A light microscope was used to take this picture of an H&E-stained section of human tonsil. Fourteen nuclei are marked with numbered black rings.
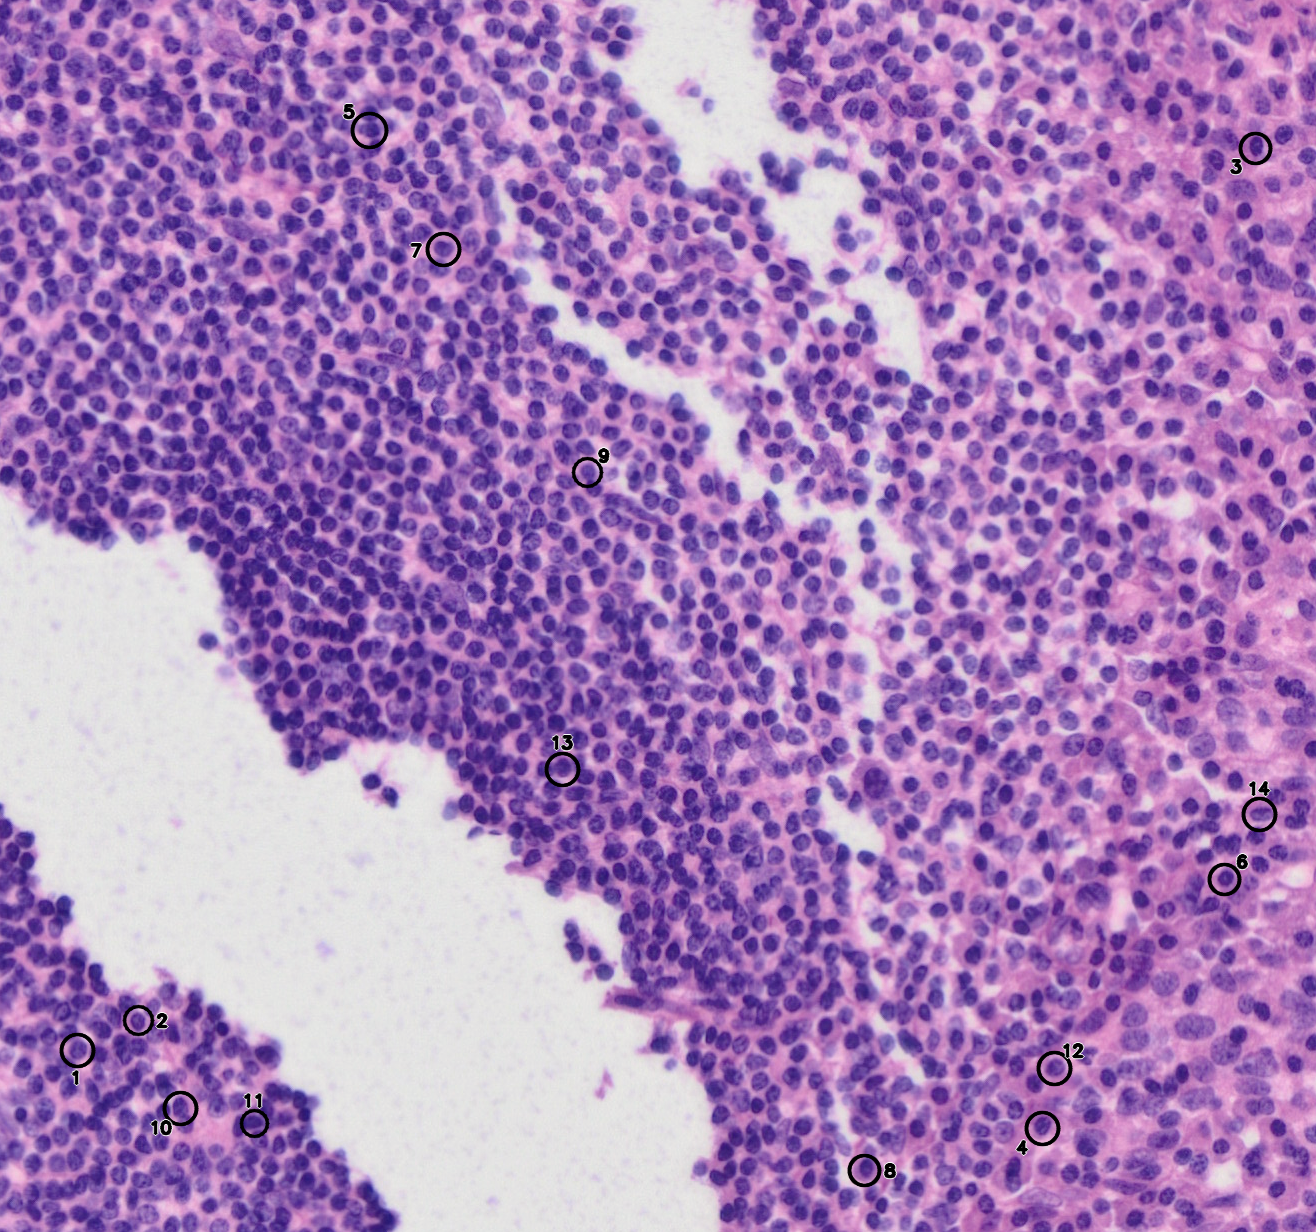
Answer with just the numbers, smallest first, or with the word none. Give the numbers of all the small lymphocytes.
1, 2, 5, 7, 9, 10, 11, 13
